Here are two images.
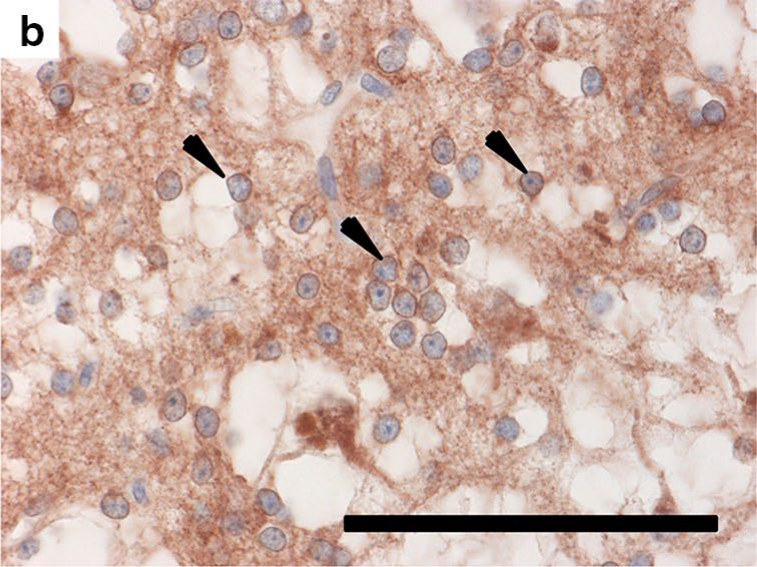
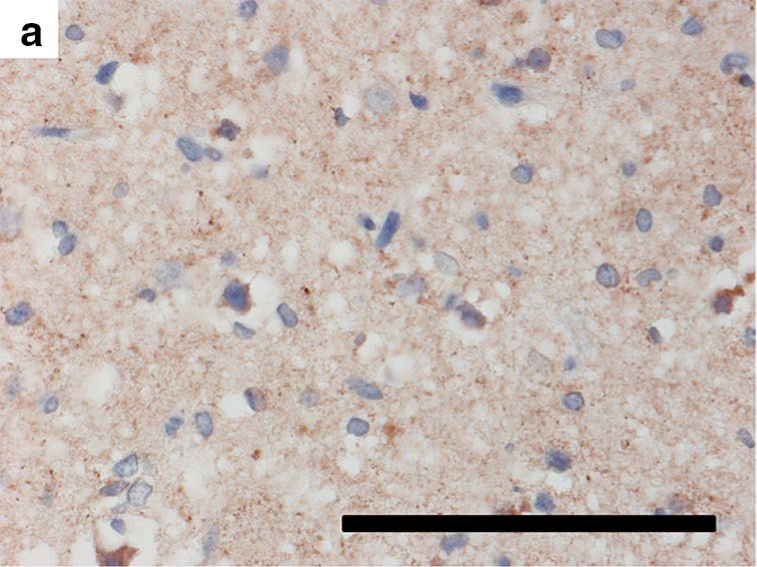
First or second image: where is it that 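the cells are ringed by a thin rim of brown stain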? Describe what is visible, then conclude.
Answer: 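First image: many round nuclei are outlined by distinct brown rims within a strongly brown fibrillary background. Second image: the background is only faintly and diffusely brown, and the nuclei lack brown rims.
The first image.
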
